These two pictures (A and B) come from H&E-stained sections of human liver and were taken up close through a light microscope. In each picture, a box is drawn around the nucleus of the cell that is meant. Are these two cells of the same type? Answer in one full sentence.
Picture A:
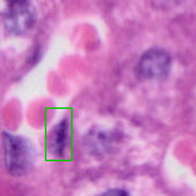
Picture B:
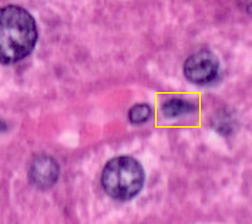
Yes, both cells are “fibroblasts or stellate cells”.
